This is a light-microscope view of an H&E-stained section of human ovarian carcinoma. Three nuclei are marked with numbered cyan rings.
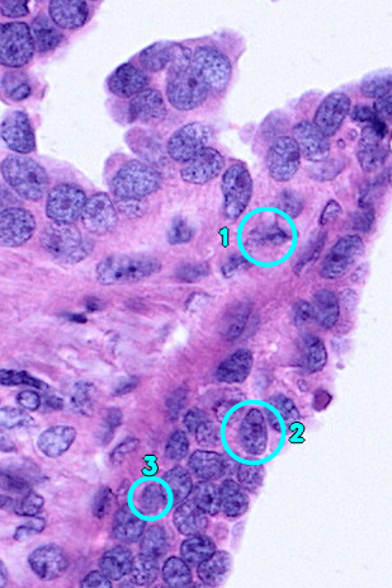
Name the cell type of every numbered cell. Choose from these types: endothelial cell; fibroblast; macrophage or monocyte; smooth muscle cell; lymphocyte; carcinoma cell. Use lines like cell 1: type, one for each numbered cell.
cell 1: fibroblast
cell 2: carcinoma cell
cell 3: carcinoma cell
